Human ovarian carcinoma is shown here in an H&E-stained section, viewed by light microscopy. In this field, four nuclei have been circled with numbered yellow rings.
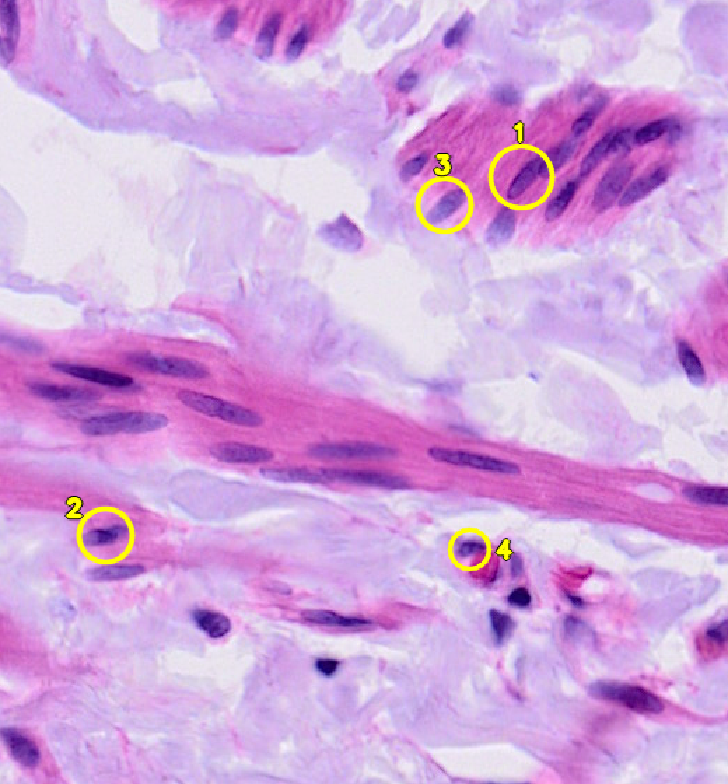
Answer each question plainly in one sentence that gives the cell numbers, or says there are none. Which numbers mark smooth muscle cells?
The cells which carry the numbers 1, 2 and 3 are smooth muscle cells.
